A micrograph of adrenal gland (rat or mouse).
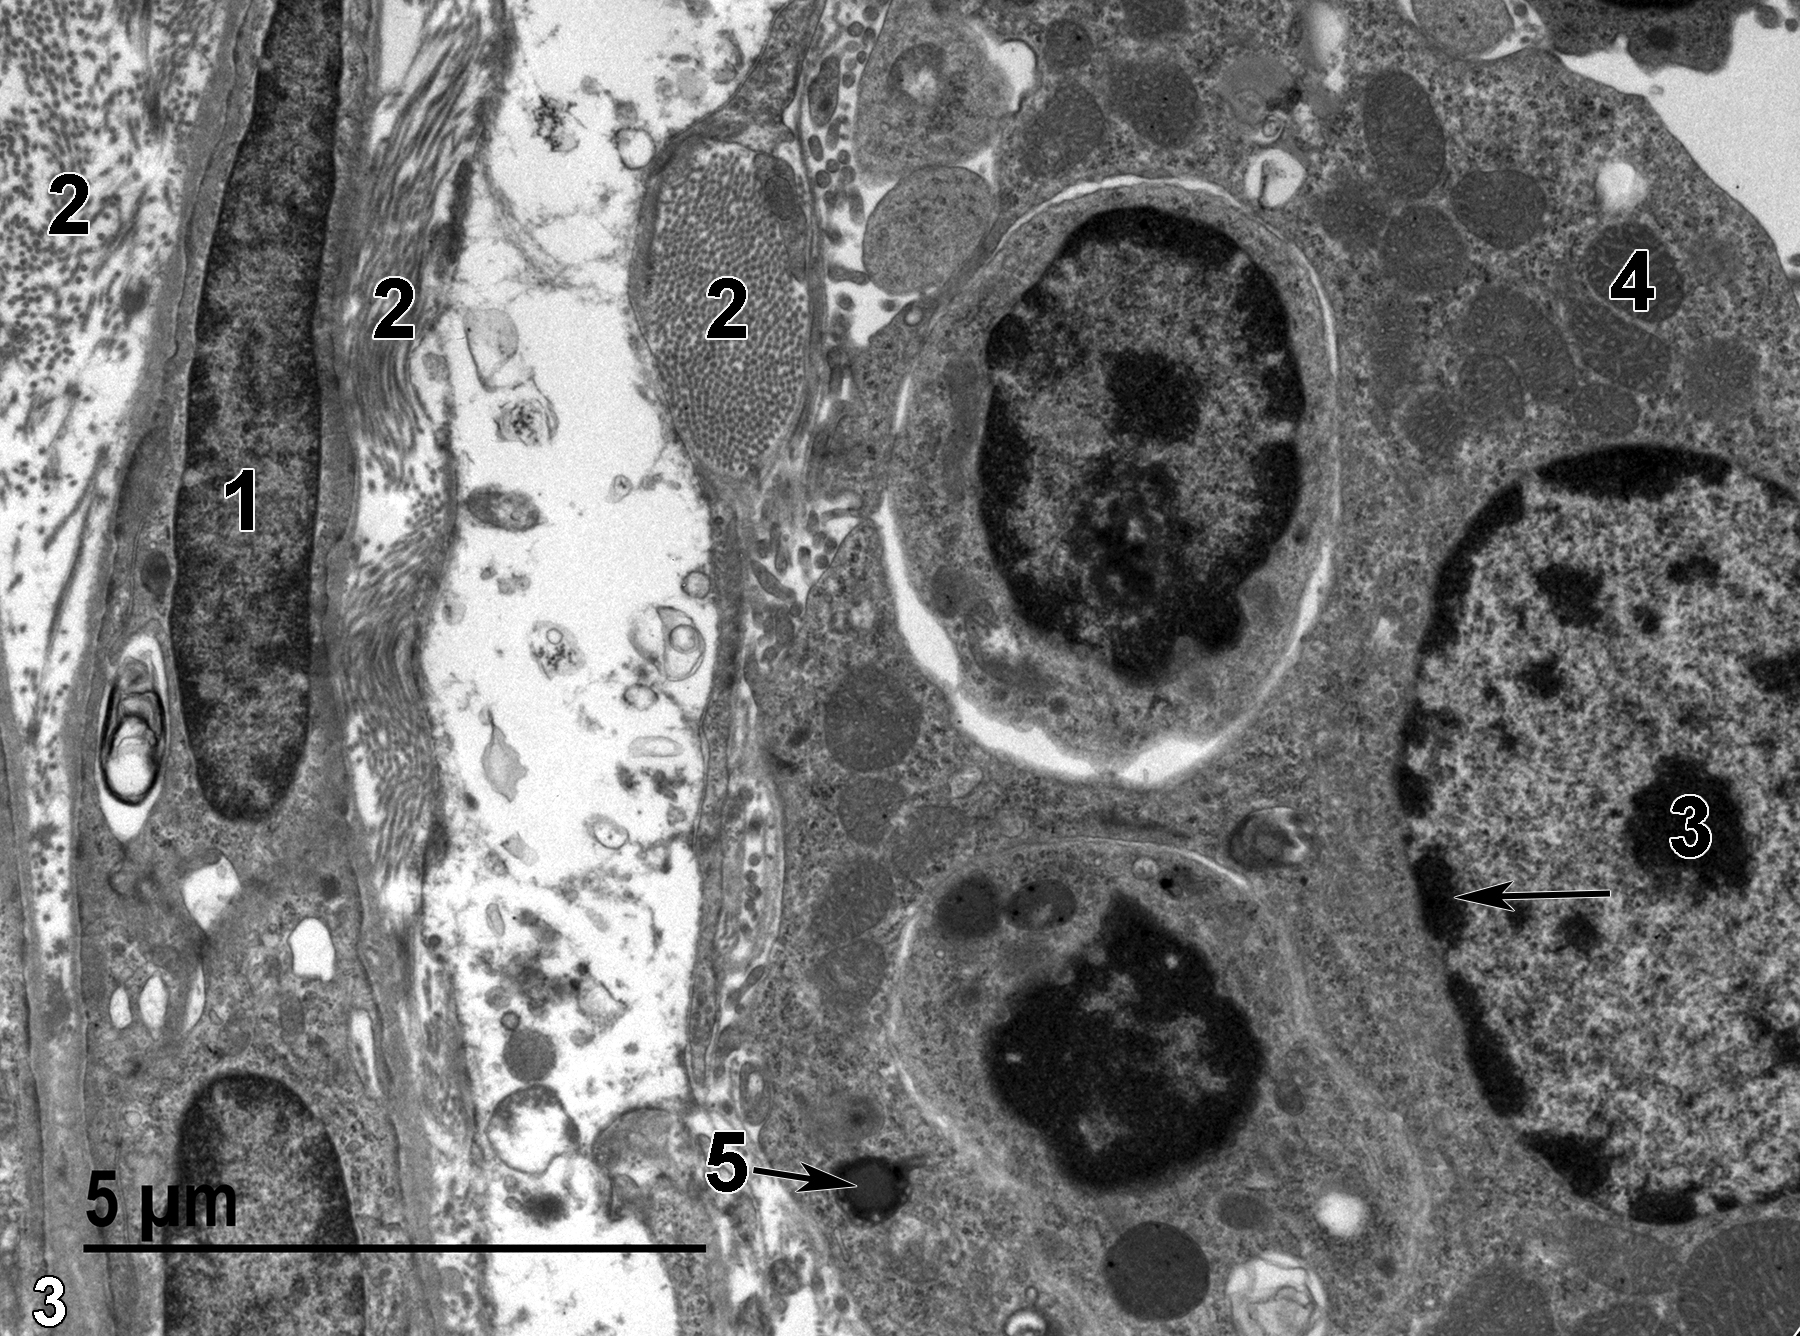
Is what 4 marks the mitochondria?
Yes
